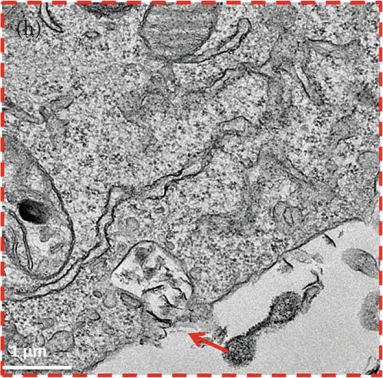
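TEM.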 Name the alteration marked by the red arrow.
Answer: Membrane pitting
